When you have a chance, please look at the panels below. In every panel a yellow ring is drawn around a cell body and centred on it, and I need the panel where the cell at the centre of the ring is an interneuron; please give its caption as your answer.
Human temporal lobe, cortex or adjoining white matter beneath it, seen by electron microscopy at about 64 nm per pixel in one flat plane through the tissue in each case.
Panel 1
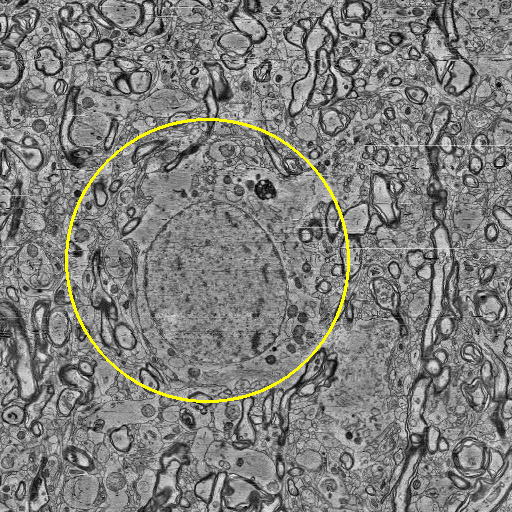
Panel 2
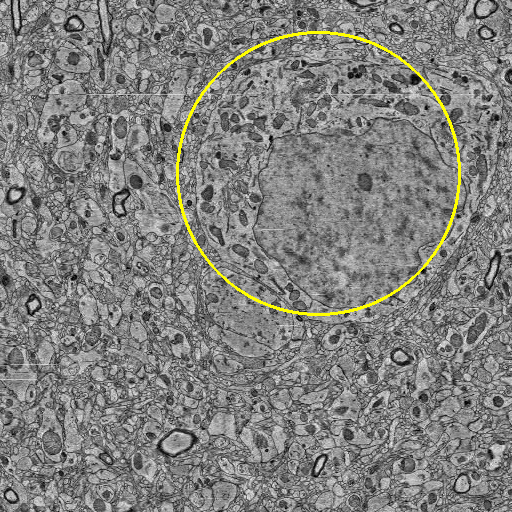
Panel 2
